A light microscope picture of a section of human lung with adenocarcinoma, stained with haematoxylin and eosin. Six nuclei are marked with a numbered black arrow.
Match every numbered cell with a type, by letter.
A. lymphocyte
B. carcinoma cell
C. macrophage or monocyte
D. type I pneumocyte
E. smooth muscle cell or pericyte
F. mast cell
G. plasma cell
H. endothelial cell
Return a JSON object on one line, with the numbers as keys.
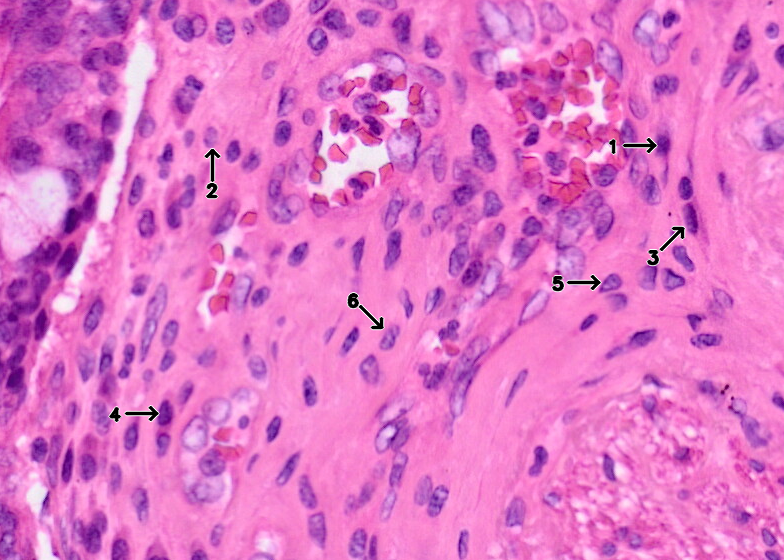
{"1": "G", "2": "F", "3": "G", "4": "G", "5": "F", "6": "F"}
